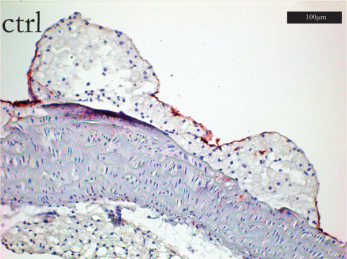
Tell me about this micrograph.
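Arterial wall with intimal lesions bulging into the lumen. The media below is made of wavy, pale lamellae alternating with elongated, blue-stained nuclei. The lesions consist of loosely packed cells with pale, vacuolated, foamy cytoplasm and small round blue nuclei. A thin red-brown staining lines parts of the luminal surface over the wall and lesions. The adventitia below the media holds scattered nuclei in looser tissue.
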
